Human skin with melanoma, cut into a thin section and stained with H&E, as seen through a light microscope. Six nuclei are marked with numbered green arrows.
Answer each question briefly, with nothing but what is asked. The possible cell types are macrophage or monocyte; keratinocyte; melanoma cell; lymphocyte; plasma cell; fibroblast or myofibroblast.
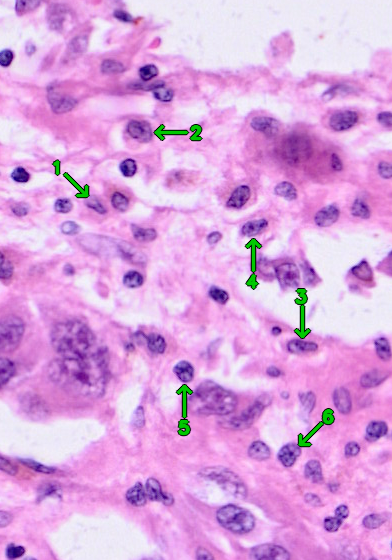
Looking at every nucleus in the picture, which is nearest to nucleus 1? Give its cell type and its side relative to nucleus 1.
a macrophage or monocyte to the right of nucleus 1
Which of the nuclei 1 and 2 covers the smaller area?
1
